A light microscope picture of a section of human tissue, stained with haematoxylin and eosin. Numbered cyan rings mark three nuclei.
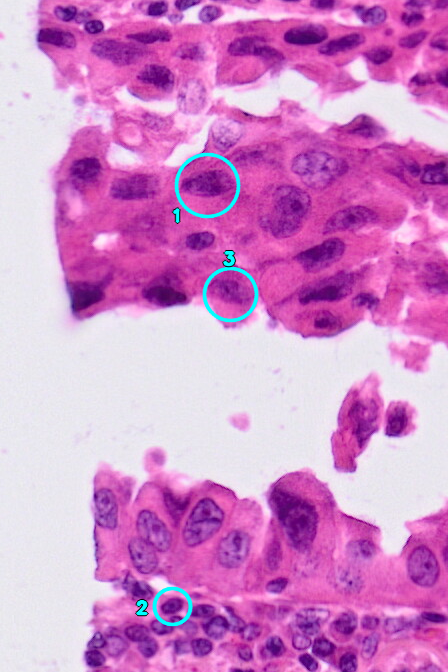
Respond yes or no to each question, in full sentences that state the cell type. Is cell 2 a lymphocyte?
Yes, in the section, number 2 is a lymphocyte.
